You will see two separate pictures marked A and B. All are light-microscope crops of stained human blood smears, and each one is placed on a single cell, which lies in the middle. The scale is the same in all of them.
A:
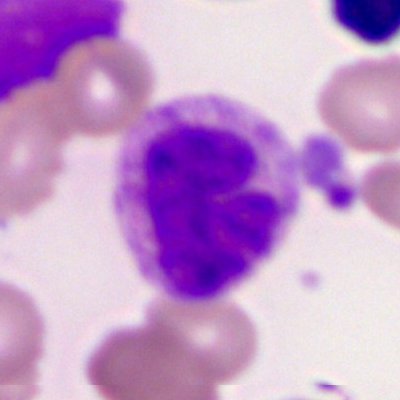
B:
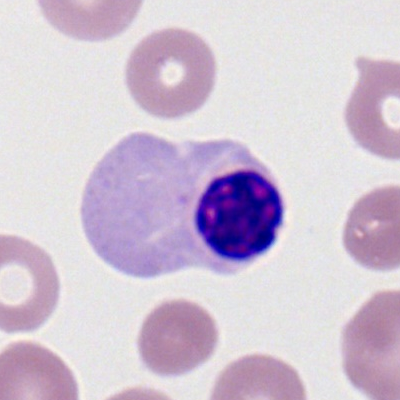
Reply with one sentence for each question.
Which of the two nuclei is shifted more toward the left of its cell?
The nucleus in crop A lies further toward the left of its cell.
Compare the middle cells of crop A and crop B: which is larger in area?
It is the cell in crop A, about 1.5 times as large in area as the cell in crop B.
